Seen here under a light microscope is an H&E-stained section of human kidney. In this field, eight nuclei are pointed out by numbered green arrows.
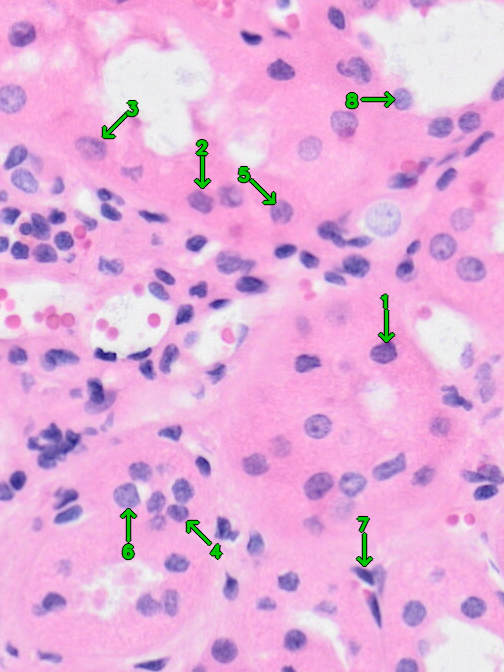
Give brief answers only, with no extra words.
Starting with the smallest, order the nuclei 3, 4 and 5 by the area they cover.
4, 5, 3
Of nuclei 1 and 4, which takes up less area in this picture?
4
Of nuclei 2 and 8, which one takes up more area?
2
